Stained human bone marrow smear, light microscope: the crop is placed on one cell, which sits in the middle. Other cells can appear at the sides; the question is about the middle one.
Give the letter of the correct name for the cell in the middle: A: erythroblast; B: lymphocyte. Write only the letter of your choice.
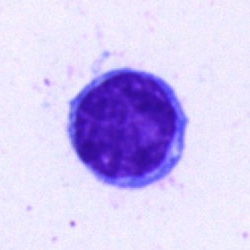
B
